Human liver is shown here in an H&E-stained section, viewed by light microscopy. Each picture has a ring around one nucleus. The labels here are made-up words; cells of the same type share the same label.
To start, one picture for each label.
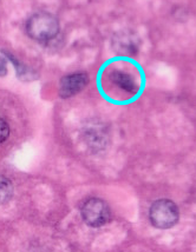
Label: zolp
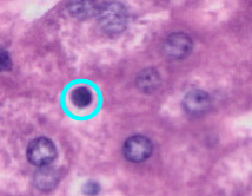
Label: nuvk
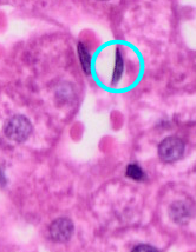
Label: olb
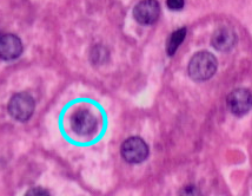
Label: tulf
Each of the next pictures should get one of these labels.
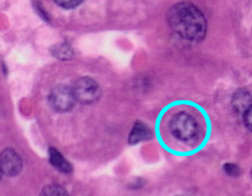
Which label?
tulf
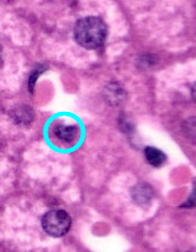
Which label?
zolp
